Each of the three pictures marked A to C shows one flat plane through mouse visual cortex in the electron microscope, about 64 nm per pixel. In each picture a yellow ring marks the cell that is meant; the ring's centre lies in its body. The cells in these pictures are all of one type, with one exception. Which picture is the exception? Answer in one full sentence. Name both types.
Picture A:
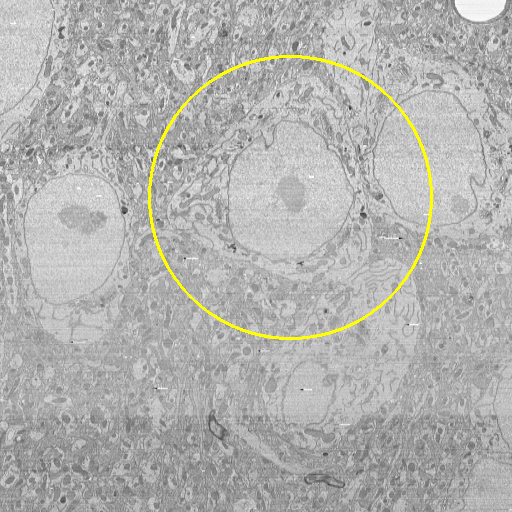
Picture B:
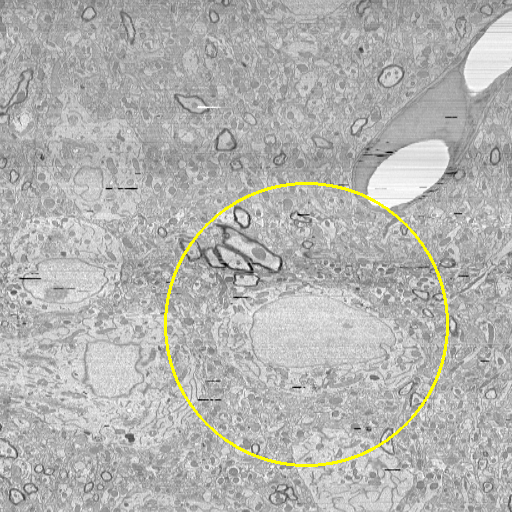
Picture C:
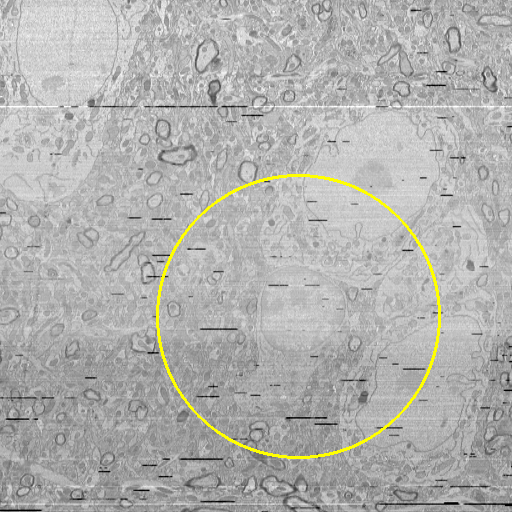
All pictures except C show inhibitory neurons; picture C shows an oligodendrocyte.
